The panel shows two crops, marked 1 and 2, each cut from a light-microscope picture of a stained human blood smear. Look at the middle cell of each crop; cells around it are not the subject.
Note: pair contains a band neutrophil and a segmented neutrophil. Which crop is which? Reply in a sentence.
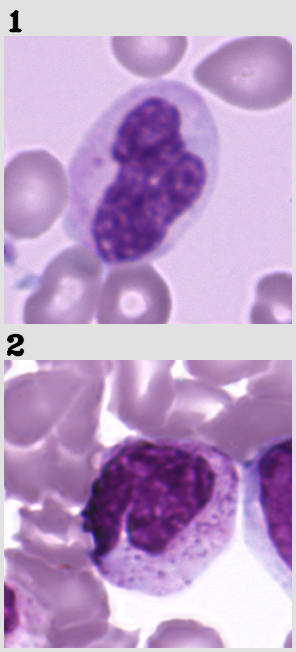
Crop 1 is a segmented neutrophil, and, separately, crop 2 is a band neutrophil.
